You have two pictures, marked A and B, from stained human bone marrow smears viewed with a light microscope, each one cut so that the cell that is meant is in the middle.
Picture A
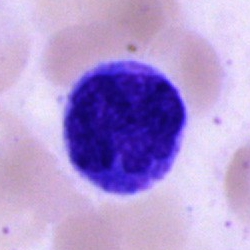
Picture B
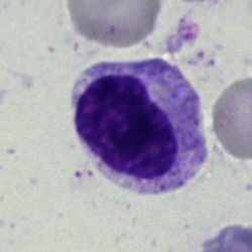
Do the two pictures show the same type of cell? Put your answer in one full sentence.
No; the cell in picture A is a monocyte, while the one in picture B is a myelocyte.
